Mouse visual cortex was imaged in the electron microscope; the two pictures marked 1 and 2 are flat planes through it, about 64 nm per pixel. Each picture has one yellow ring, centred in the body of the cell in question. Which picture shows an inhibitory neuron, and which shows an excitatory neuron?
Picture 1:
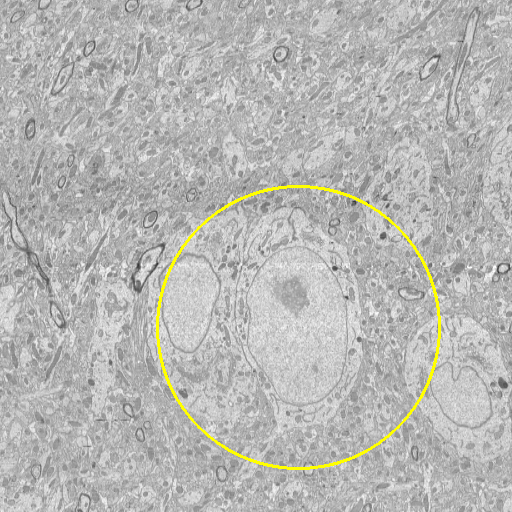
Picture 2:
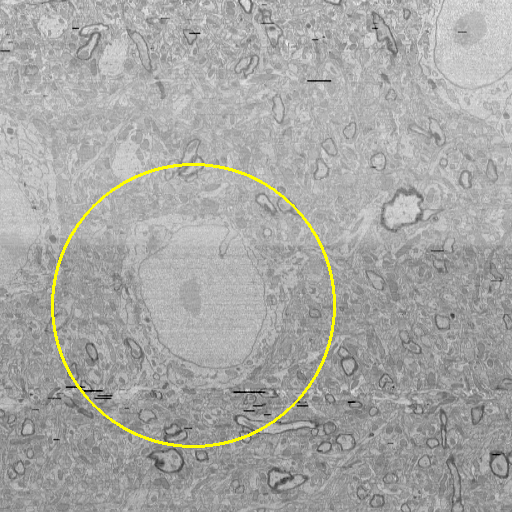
In picture 1 the cell is an inhibitory neuron; in picture 2, an excitatory neuron.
